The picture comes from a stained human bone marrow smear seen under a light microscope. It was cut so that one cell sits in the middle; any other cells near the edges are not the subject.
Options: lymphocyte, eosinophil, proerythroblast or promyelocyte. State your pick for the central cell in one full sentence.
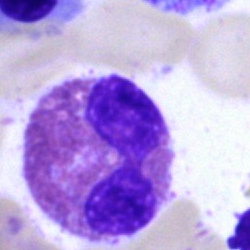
In the center of this field lies an eosinophil.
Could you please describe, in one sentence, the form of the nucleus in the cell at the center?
You can count two or more lobes in this nucleus.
